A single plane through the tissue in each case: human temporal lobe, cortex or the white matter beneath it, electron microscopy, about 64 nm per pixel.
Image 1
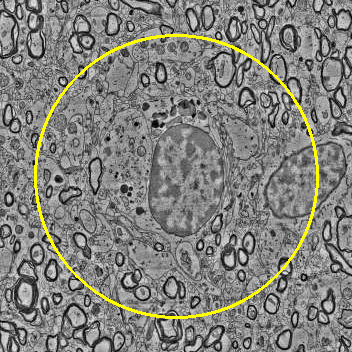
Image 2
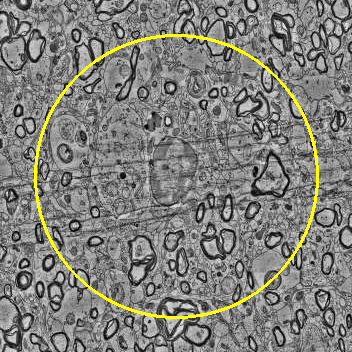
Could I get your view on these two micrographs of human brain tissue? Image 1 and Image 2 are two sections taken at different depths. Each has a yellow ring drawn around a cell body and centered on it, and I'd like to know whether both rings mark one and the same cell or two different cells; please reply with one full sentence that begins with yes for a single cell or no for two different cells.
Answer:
Yes, both yellow rings mark one and the same cell.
